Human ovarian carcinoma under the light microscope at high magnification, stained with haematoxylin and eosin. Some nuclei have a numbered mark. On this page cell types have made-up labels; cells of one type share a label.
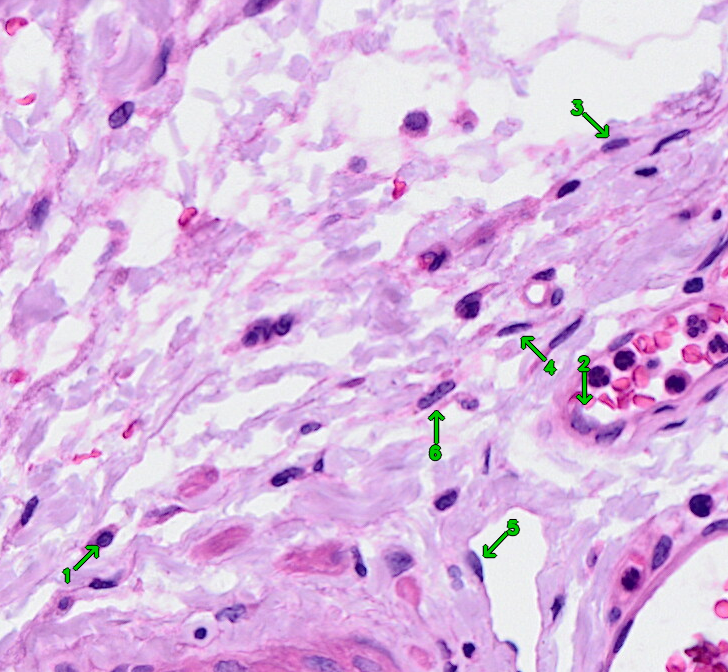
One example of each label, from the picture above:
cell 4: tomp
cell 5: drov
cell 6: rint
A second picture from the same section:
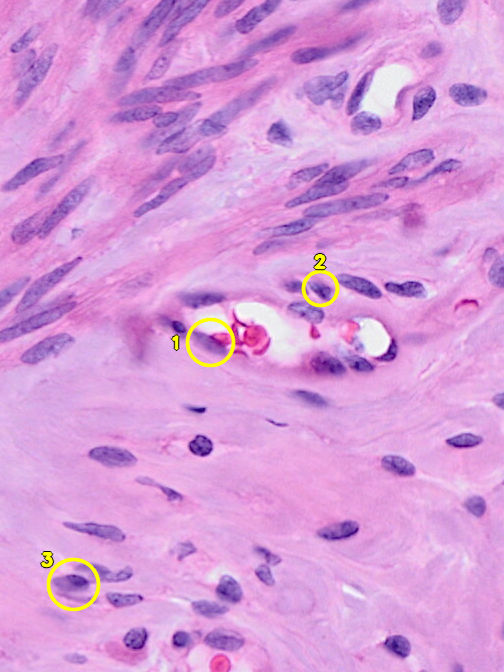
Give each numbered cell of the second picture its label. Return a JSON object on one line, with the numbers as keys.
{"1": "drov", "2": "drov", "3": "tomp"}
